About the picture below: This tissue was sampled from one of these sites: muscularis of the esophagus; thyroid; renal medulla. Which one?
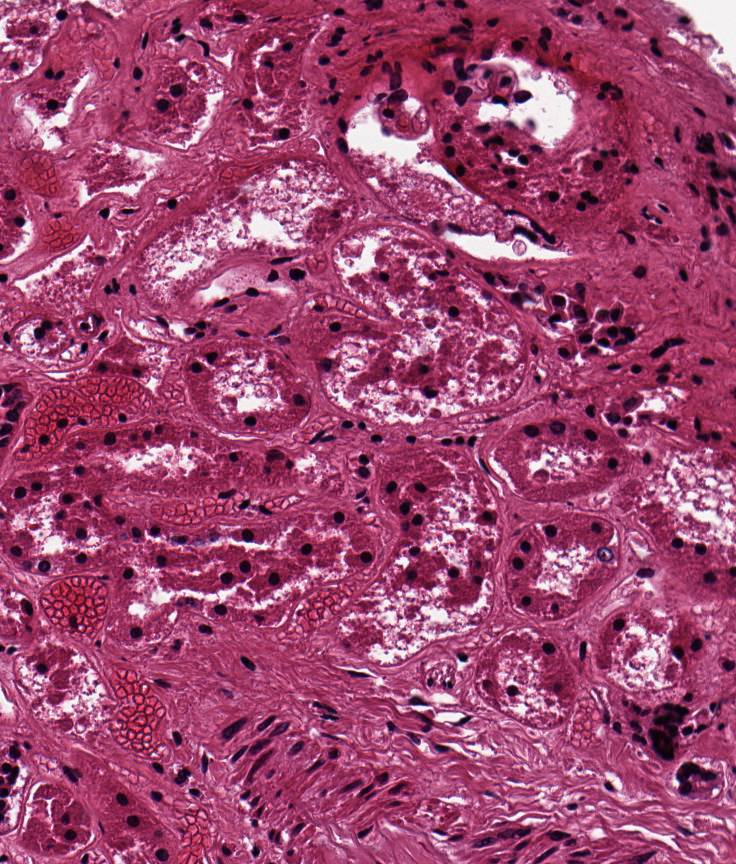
renal medulla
